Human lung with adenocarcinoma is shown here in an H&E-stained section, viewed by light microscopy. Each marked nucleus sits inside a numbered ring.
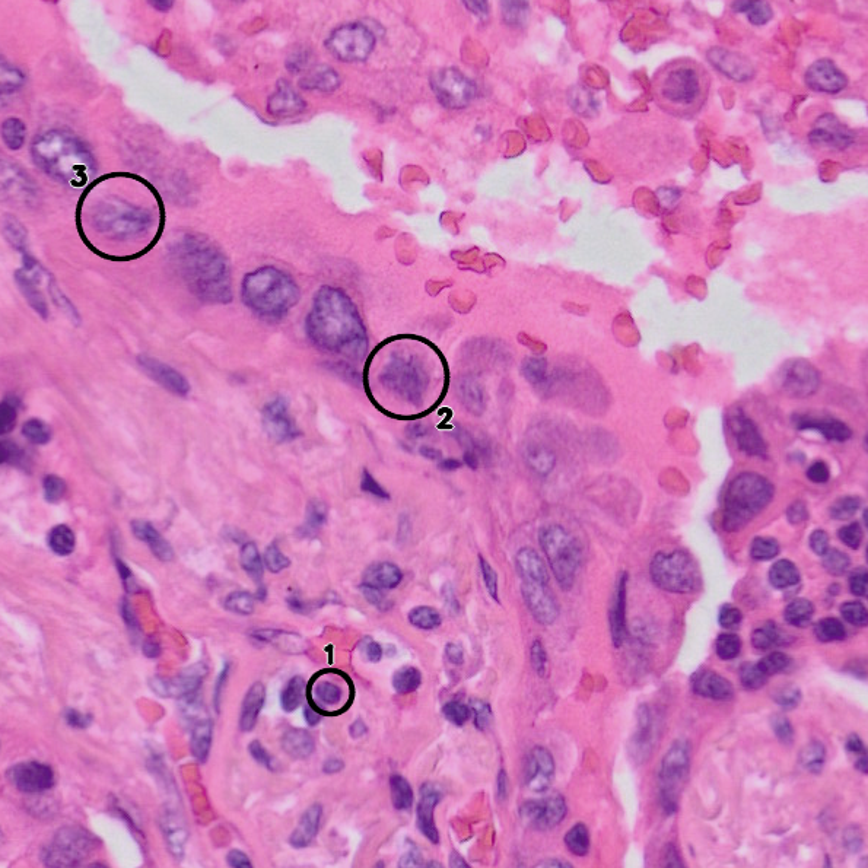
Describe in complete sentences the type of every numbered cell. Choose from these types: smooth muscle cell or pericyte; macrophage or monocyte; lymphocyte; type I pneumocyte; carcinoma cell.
Cell 1 is a lymphocyte, cell 2 is a carcinoma cell and cell 3 is a carcinoma cell.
